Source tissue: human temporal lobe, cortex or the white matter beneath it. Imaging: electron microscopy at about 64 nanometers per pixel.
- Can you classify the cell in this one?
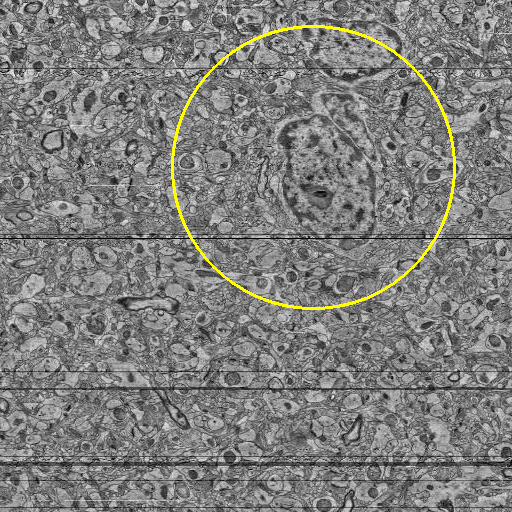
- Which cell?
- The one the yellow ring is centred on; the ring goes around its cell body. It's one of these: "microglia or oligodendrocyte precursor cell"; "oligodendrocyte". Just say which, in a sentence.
The cell body in the ring belongs to a microglial cell or oligodendrocyte precursor cell.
